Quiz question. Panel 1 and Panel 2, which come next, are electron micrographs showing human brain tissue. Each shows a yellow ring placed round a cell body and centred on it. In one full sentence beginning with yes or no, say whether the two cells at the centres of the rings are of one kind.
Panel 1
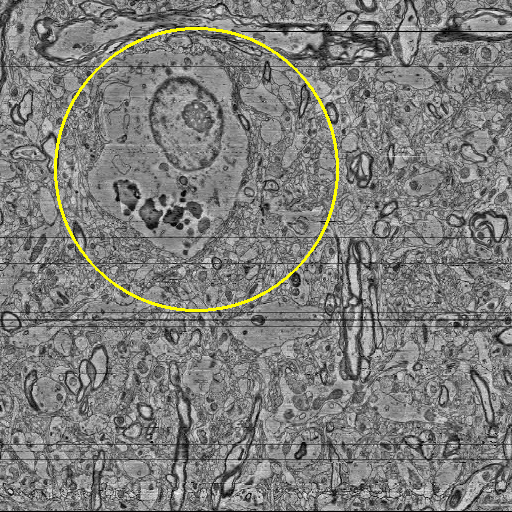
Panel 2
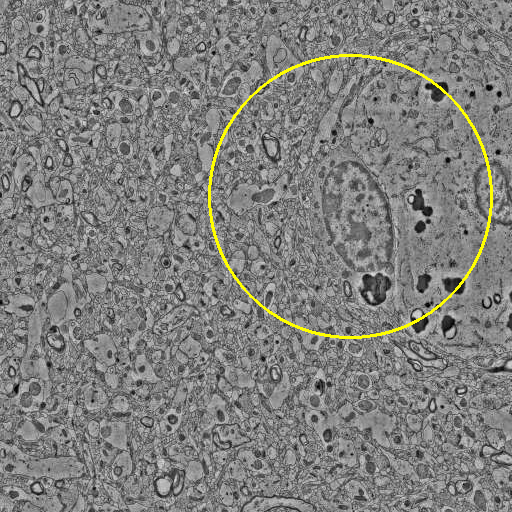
No, Panel 1 and Panel 2 show two kinds of cell at the centre of the ring.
